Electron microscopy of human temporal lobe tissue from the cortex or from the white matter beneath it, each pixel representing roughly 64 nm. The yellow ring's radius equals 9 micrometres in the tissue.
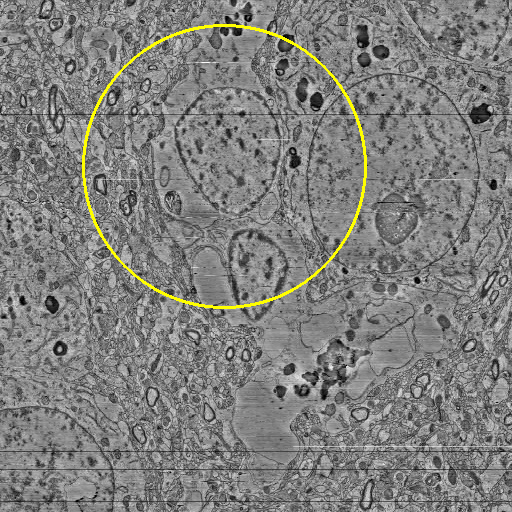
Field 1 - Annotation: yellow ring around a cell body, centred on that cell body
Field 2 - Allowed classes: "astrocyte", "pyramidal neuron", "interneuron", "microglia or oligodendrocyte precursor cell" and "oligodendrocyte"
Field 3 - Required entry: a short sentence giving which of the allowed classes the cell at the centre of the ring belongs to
The centred cell is an astrocyte.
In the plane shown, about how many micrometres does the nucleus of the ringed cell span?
About 9 by 7 micrometers for the nucleus, in this plane.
